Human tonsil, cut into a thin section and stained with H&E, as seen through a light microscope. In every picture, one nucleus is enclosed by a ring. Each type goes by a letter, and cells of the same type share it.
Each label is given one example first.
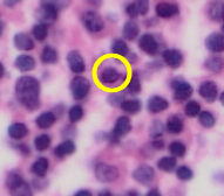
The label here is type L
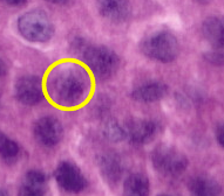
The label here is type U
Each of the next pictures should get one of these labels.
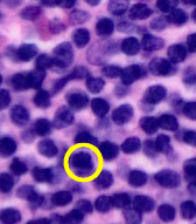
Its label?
type L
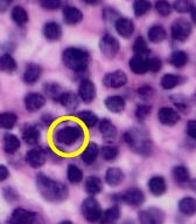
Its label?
type L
